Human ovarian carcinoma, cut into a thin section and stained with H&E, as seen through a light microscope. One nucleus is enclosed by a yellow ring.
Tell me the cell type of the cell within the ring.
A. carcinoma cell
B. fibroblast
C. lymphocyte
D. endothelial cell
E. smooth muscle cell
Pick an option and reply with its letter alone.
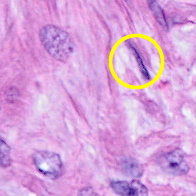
B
